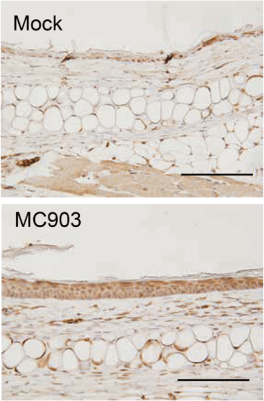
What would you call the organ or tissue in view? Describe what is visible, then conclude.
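A thin cellular surface layer runs along the top edge of each section. Connective tissue with scattered nuclei lies beneath the surface layer. That points to this answer: skin.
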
